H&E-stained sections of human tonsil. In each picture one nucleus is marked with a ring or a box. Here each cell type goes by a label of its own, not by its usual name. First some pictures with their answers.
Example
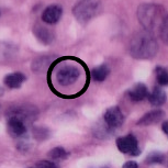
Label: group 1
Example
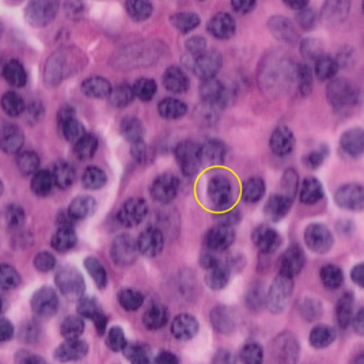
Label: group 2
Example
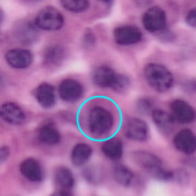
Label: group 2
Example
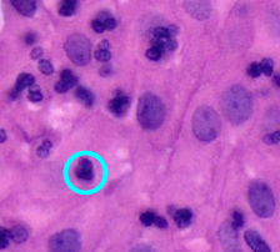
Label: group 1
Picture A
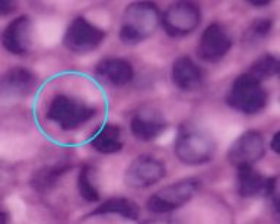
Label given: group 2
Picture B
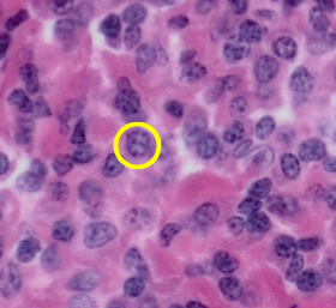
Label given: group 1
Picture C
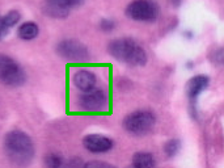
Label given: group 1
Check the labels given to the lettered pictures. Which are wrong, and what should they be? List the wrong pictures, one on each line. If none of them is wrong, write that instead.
A should be group 1, not group 2
B should be group 2, not group 1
